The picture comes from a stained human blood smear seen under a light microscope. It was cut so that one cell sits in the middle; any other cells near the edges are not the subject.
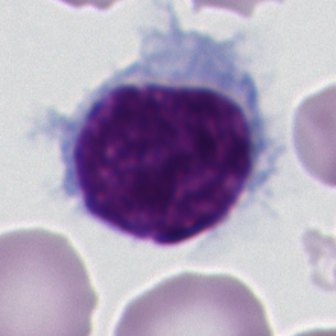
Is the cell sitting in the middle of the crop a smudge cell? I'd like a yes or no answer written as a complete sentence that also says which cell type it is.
No, this one is a hairy cell; it is not a smudge cell.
